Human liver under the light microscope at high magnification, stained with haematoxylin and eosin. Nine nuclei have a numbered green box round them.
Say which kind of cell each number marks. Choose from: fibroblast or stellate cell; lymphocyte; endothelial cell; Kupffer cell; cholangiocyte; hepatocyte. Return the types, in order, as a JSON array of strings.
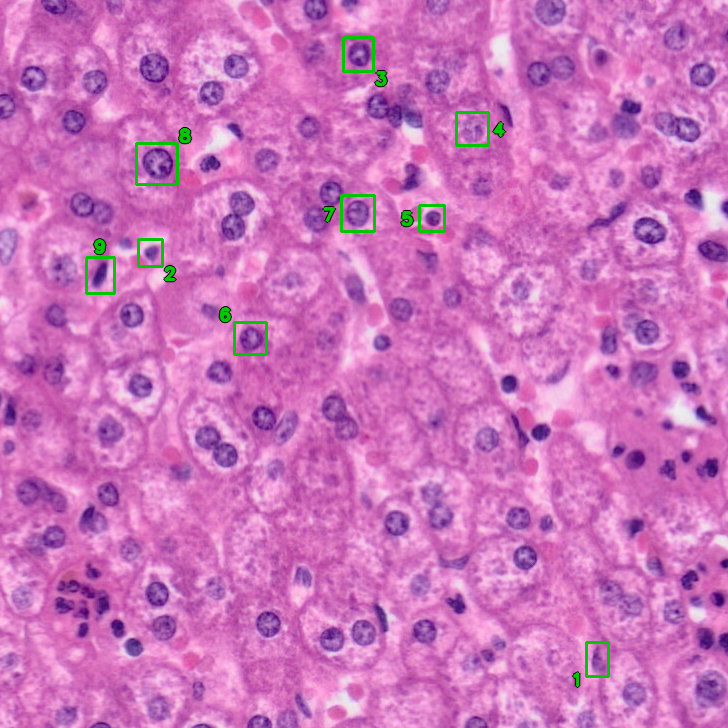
["endothelial cell", "lymphocyte", "hepatocyte", "hepatocyte", "lymphocyte", "hepatocyte", "hepatocyte", "hepatocyte", "fibroblast or stellate cell"]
